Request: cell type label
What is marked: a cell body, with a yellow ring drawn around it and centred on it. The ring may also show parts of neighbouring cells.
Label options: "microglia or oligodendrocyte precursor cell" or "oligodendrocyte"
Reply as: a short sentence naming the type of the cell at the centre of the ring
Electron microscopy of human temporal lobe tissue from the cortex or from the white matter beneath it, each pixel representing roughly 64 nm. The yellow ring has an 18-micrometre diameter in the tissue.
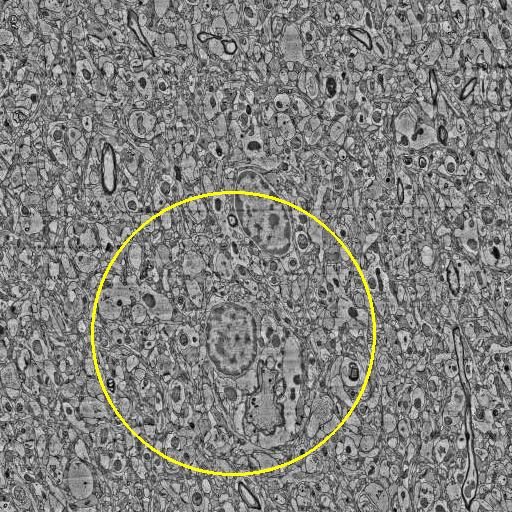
The marked cell body is that of an oligodendrocyte.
